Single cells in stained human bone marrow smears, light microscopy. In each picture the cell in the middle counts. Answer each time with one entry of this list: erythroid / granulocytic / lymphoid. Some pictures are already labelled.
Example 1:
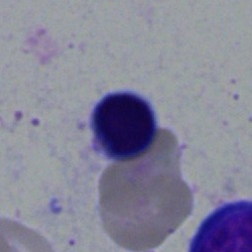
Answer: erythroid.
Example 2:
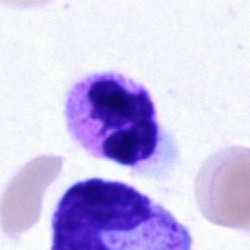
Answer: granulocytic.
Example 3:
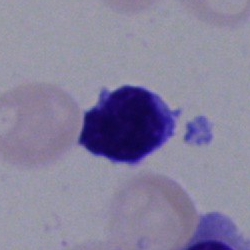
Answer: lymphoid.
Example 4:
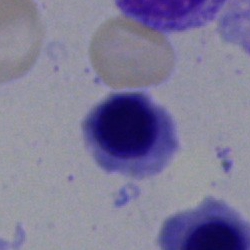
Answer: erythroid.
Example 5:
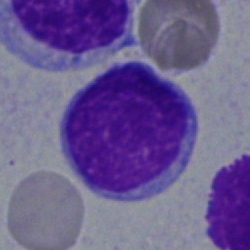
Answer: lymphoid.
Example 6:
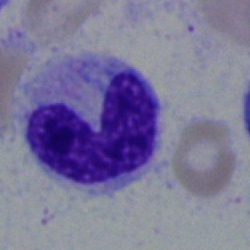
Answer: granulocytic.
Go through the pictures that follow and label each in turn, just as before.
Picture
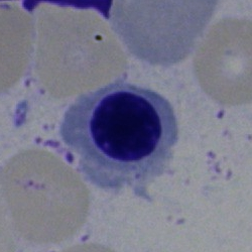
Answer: erythroid.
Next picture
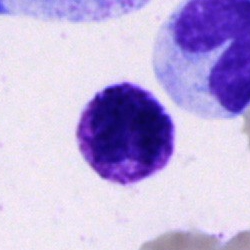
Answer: granulocytic.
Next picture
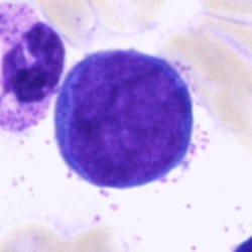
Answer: erythroid.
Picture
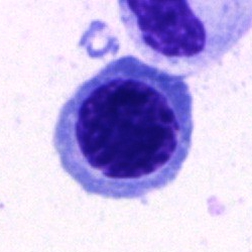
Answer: erythroid.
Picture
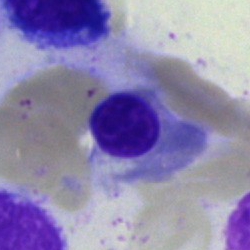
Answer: erythroid.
